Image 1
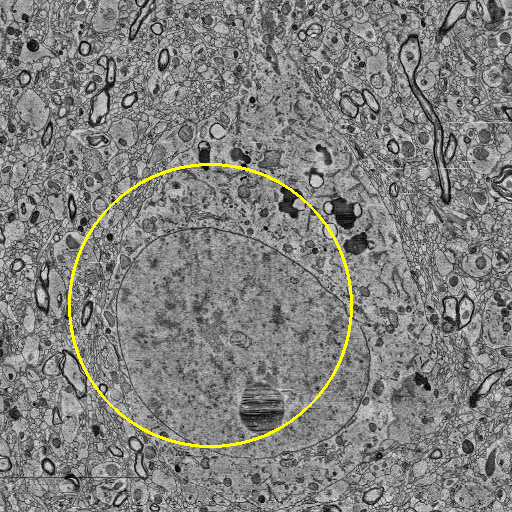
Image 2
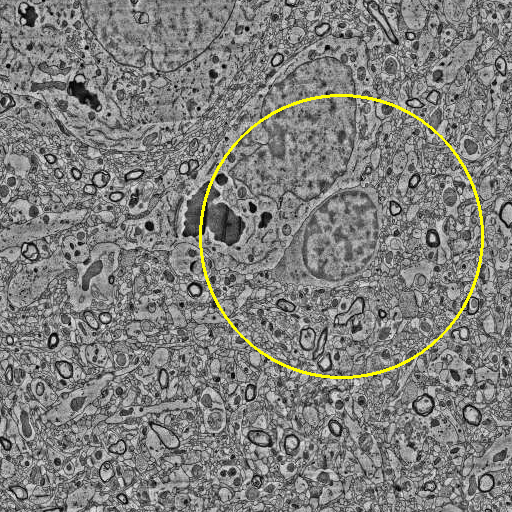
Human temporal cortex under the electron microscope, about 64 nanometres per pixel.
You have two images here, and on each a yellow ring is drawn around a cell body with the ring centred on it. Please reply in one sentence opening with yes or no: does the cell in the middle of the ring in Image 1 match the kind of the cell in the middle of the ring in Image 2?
No, the two images show cells of two kinds at the centres of their rings.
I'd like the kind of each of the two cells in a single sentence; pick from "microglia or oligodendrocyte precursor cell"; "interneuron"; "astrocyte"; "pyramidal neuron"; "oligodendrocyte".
The first ring marks a pyramidal neuron, and the second ring marks an oligodendrocyte.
